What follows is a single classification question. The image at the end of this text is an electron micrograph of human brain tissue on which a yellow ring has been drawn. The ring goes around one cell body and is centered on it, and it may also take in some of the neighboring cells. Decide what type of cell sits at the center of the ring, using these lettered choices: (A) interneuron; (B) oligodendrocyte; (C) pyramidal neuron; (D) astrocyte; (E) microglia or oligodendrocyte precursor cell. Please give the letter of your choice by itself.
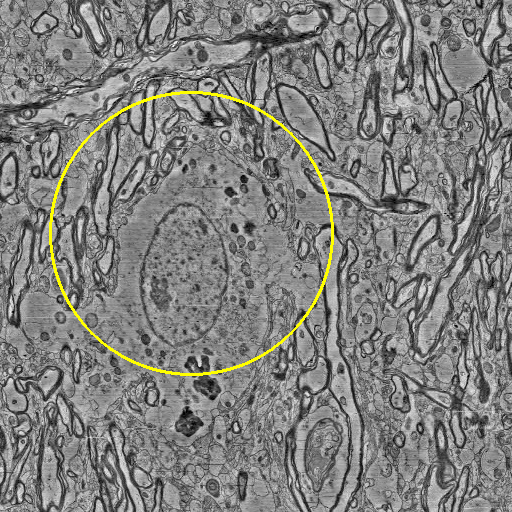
D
